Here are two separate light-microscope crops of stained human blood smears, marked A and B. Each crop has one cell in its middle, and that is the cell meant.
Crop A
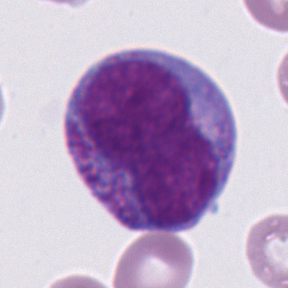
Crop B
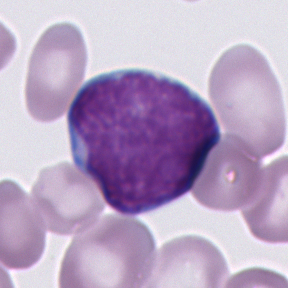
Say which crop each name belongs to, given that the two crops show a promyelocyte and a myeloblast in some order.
A: promyelocyte
B: myeloblast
